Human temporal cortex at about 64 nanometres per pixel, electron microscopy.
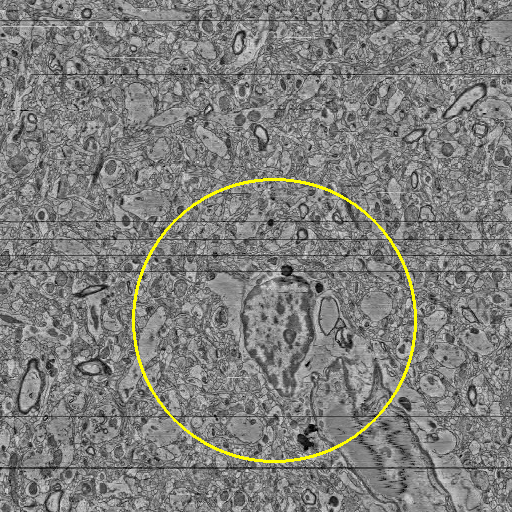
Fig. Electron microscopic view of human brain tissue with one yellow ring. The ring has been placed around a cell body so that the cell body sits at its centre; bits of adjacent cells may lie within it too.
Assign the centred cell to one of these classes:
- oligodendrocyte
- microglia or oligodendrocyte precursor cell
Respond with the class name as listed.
microglia or oligodendrocyte precursor cell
